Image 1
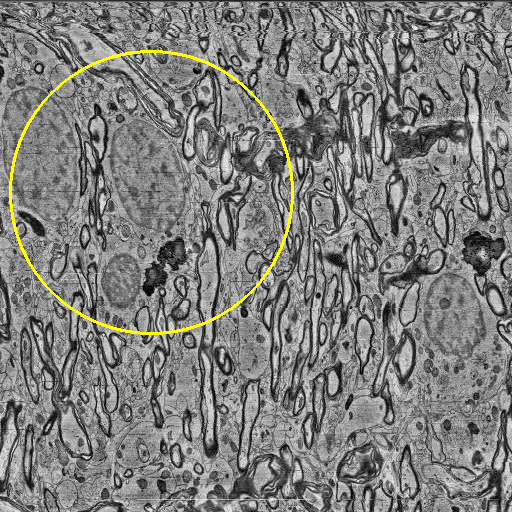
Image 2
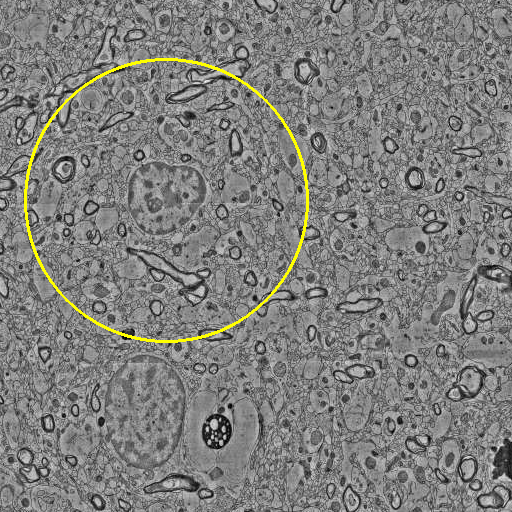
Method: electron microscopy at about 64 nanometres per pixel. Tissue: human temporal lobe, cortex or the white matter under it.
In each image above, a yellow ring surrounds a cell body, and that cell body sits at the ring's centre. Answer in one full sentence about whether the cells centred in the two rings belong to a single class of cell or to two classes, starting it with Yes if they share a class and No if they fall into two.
No, the cells centred in the two yellow rings belong to two classes of cell.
